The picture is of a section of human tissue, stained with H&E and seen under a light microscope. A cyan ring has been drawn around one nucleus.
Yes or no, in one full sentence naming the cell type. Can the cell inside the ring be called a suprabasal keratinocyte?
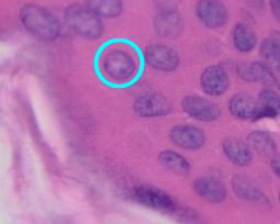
Yes, the cell inside the ring is a suprabasal keratinocyte; nothing to add.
